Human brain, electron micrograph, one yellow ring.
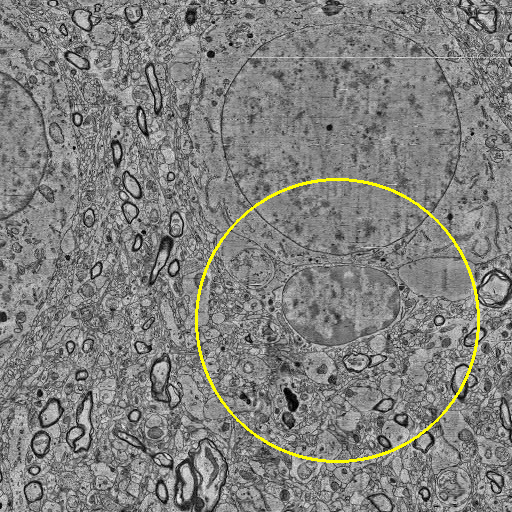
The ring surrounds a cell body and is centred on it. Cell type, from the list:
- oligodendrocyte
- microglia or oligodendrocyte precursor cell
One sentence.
The yellow ring circles a microglial cell or oligodendrocyte precursor cell.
